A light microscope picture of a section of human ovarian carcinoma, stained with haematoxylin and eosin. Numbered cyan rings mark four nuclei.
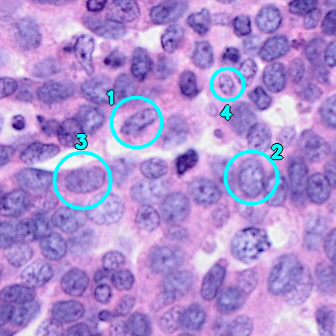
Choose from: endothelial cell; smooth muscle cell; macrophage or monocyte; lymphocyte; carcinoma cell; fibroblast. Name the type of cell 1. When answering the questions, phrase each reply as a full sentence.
The cell identified by the number 1 is a macrophage or monocyte.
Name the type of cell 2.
Marked with the number 2, this cell is a carcinoma cell.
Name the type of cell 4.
Recognised here as a macrophage or monocyte is the cell numbered 4.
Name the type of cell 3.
The cell indicated with the number 3 is classed as a carcinoma cell.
